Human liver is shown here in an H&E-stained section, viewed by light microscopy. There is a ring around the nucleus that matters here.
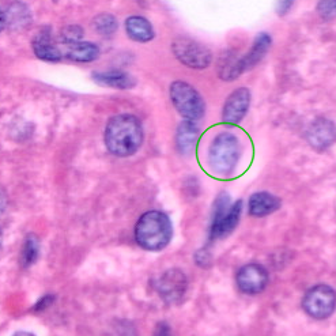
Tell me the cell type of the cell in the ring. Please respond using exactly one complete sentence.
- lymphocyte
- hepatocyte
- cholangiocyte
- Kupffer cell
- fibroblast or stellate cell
For cell typing purposes, the cell in the ring is a cholangiocyte.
